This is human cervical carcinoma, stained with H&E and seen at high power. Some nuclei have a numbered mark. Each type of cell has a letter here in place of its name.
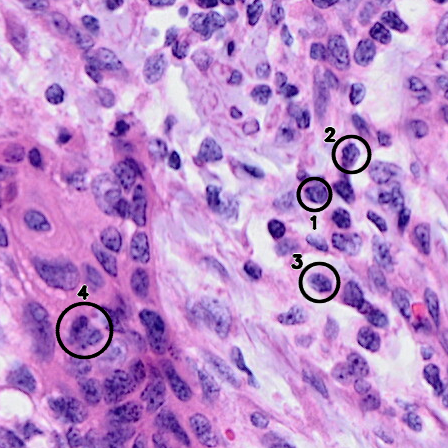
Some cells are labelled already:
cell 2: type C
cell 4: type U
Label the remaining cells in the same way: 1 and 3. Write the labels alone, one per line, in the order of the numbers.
type C
type C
